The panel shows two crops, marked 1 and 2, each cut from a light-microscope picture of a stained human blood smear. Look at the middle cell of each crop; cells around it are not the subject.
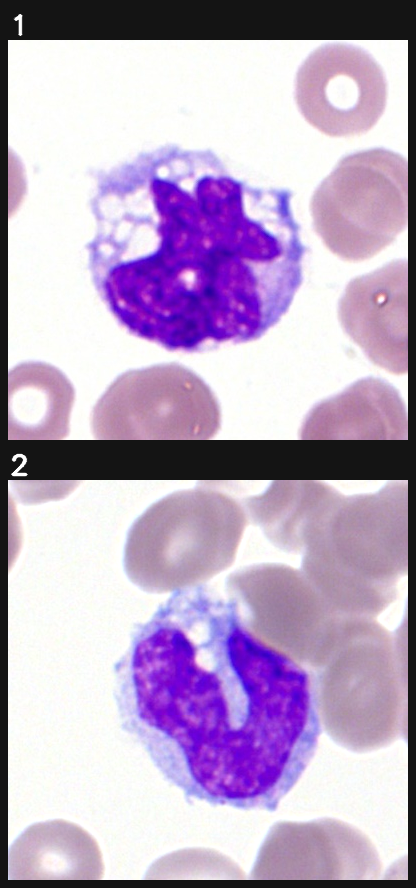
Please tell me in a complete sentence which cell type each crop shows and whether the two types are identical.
Yes, both of the crops in this pair show monocytes, one cell in each crop.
